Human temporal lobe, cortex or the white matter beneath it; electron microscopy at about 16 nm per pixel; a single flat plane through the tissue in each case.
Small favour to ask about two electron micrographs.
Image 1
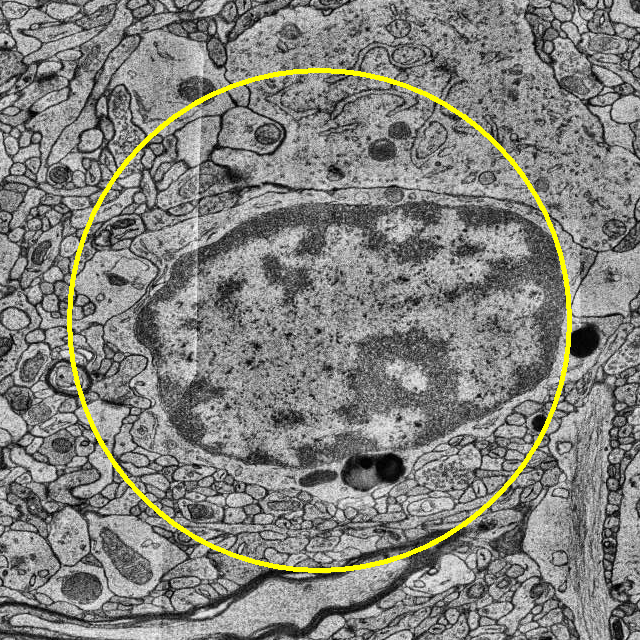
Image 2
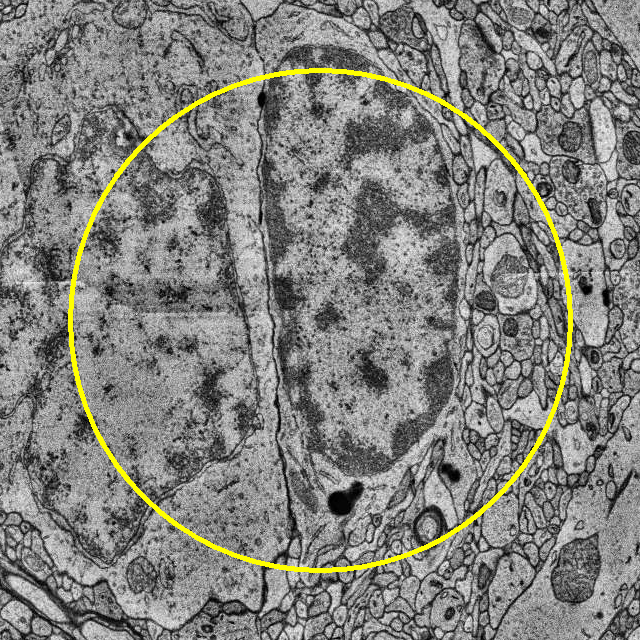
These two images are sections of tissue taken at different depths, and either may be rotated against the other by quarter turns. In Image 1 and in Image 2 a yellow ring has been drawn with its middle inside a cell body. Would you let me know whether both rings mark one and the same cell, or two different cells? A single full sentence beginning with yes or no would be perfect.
Yes, only one cell is involved, and both rings mark it.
